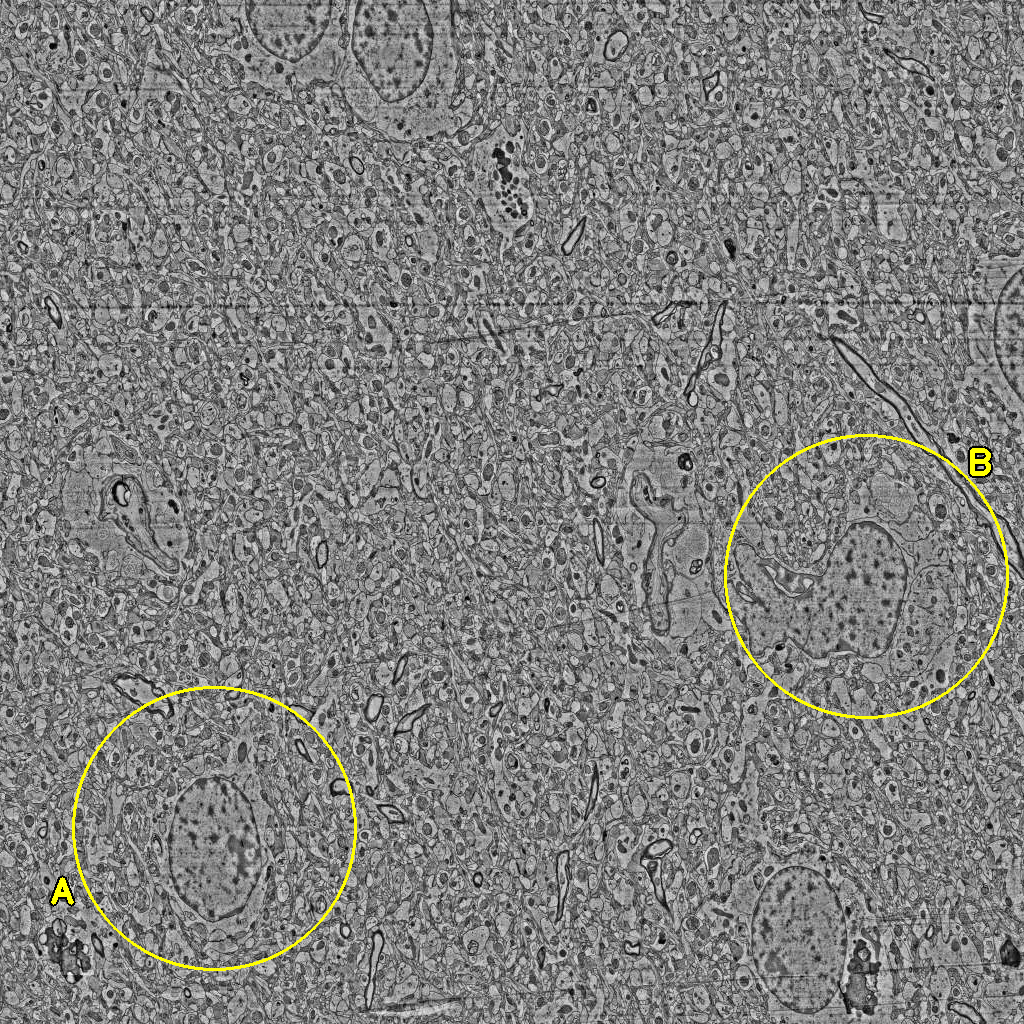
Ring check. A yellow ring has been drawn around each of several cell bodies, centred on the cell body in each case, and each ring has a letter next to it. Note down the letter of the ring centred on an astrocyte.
A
